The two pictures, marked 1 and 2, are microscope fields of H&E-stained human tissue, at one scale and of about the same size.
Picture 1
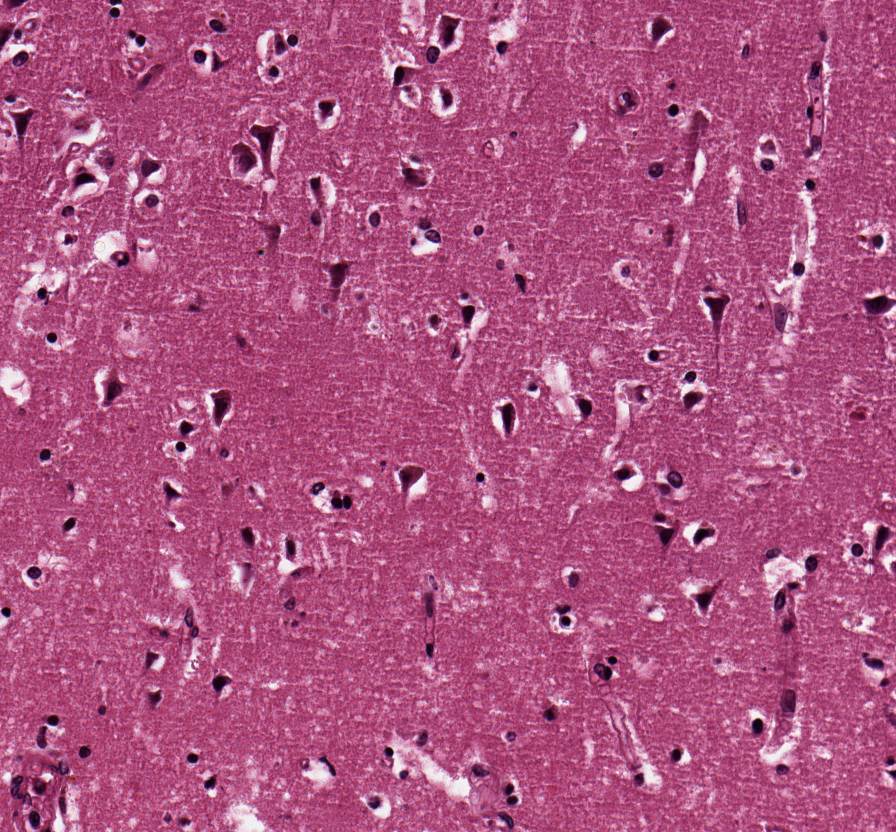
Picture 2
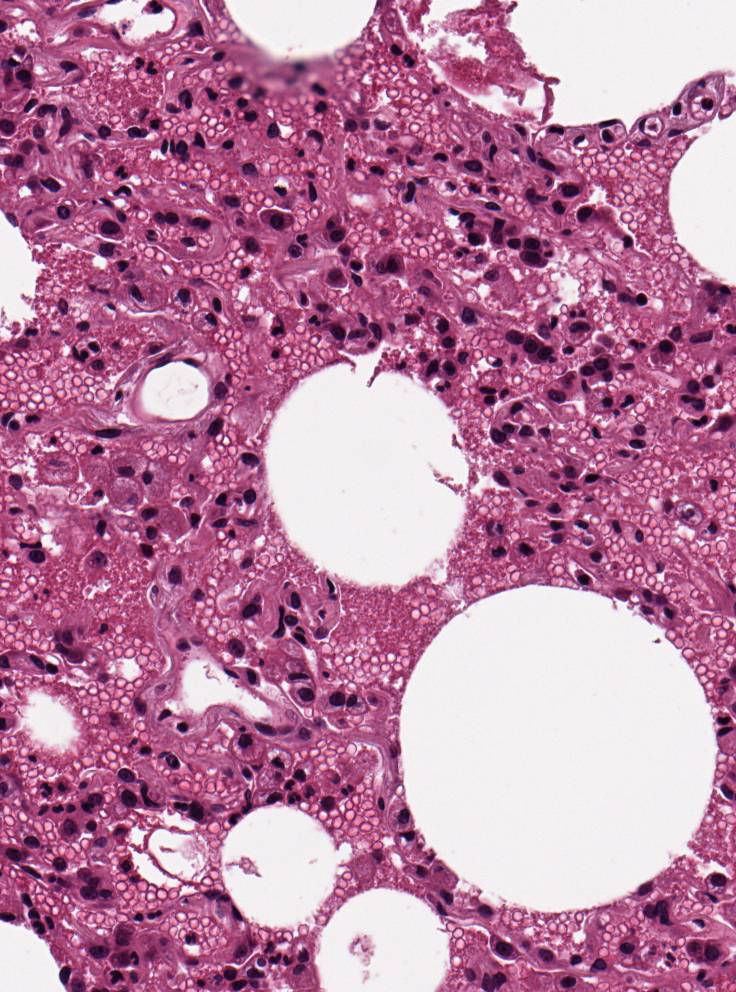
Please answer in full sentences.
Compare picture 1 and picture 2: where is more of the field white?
It is picture 2 in which white space covers the larger part.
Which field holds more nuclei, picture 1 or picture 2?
The larger number of nuclei is in picture 2.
